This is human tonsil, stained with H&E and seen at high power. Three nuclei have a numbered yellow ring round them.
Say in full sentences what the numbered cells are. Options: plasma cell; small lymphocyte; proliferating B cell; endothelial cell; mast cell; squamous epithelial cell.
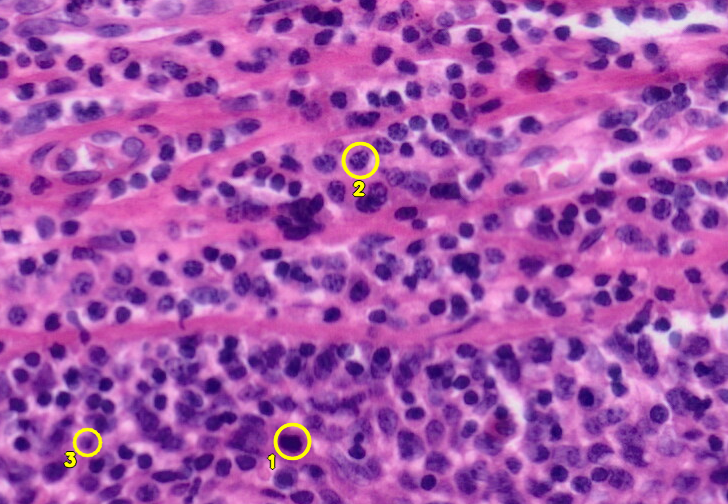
Cell 1 is a squamous epithelial cell, cell 2 is a plasma cell and cell 3 is a squamous epithelial cell.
